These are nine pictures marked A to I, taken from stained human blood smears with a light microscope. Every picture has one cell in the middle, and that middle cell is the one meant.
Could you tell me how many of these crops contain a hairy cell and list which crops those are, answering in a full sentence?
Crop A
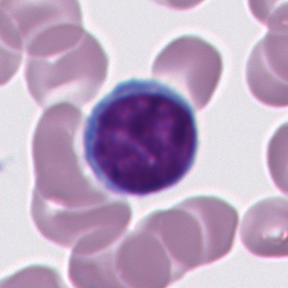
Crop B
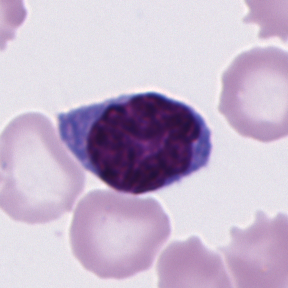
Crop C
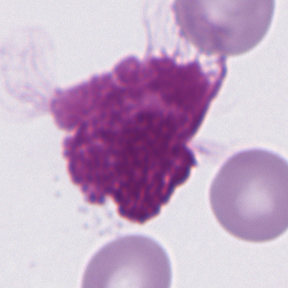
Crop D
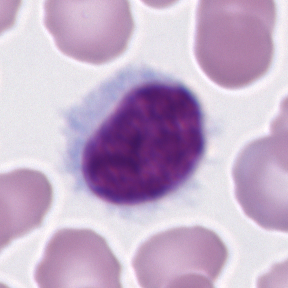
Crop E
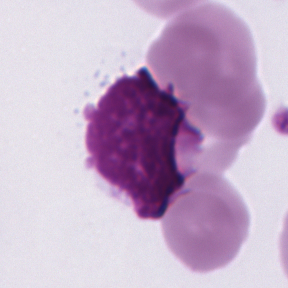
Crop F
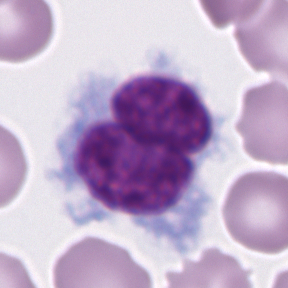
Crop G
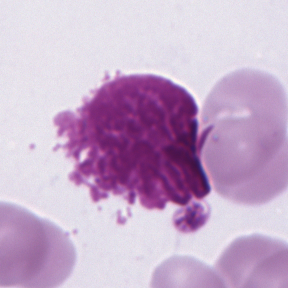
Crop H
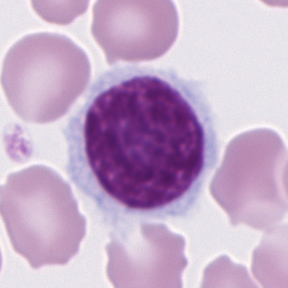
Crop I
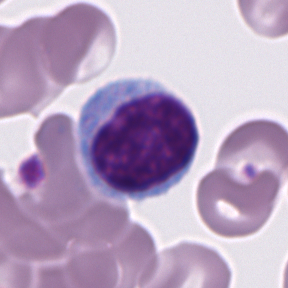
Findings: three crops show hairy cells, namely D, F and H.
